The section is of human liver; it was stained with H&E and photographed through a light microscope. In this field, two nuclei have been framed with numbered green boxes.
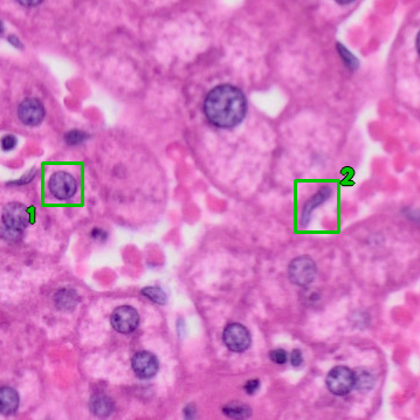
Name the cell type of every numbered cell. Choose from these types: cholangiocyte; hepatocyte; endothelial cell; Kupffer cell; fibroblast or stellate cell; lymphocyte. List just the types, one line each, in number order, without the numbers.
hepatocyte
Kupffer cell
